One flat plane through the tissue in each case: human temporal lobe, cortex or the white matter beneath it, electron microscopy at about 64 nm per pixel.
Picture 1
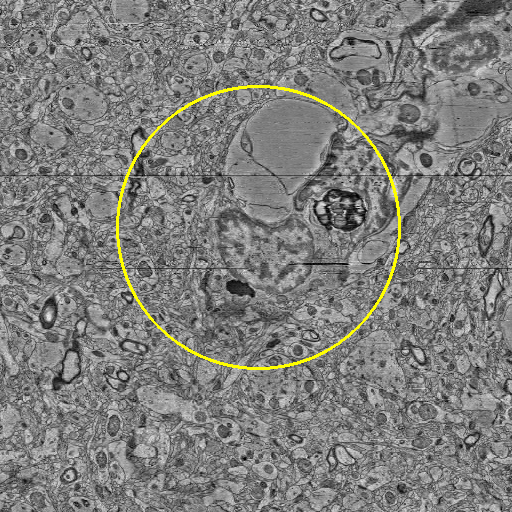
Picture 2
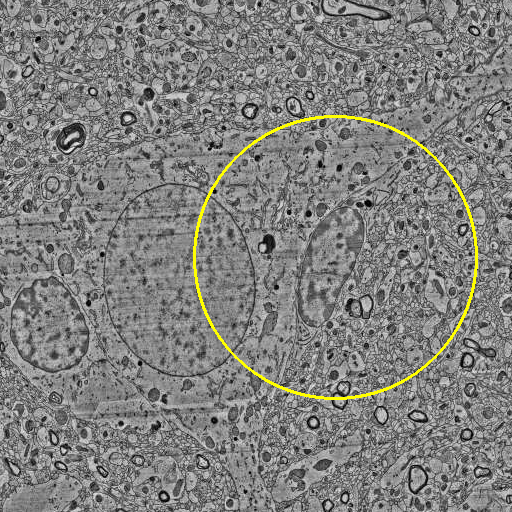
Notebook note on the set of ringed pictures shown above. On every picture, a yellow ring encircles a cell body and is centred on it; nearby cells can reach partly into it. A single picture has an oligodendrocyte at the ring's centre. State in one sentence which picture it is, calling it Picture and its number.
Picture 1 is the one whose ring is centred on the sought cell.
